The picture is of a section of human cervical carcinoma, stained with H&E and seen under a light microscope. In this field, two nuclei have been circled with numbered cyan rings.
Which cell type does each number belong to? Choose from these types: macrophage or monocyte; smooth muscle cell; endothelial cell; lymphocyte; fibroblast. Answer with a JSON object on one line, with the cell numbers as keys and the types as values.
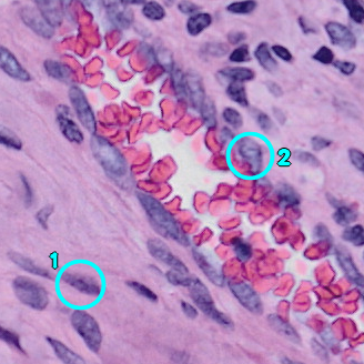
{"1": "fibroblast", "2": "endothelial cell"}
